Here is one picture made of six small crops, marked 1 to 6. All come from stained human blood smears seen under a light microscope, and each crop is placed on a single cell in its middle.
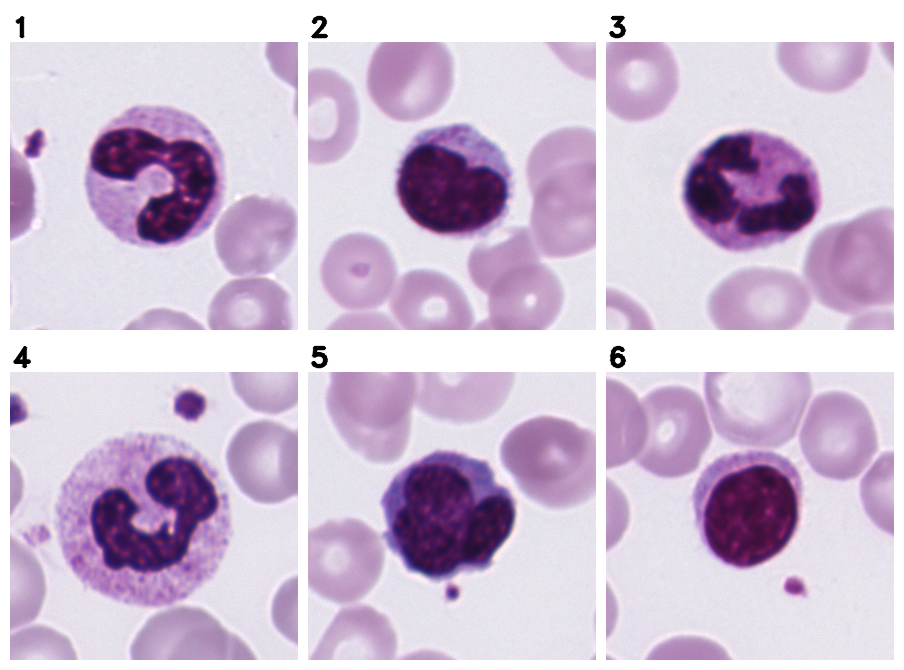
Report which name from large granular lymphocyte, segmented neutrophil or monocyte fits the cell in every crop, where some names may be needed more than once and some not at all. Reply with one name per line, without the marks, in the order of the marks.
segmented neutrophil
large granular lymphocyte
segmented neutrophil
segmented neutrophil
monocyte
large granular lymphocyte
